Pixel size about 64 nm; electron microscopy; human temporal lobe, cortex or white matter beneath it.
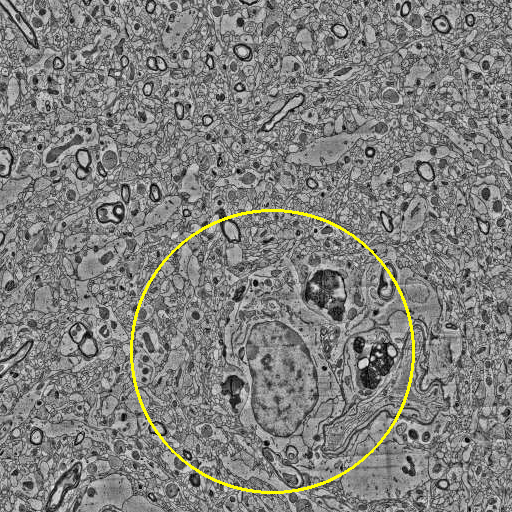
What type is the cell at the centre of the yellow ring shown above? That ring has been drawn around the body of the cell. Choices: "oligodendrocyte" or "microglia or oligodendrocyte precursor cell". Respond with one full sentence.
My answer is that a microglial cell or oligodendrocyte precursor cell lies at the centre of the yellow ring above.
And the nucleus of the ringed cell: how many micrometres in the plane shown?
The nucleus of the ringed cell is clearly longer than it is wide in this plane, about 7 by 5 micrometres.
